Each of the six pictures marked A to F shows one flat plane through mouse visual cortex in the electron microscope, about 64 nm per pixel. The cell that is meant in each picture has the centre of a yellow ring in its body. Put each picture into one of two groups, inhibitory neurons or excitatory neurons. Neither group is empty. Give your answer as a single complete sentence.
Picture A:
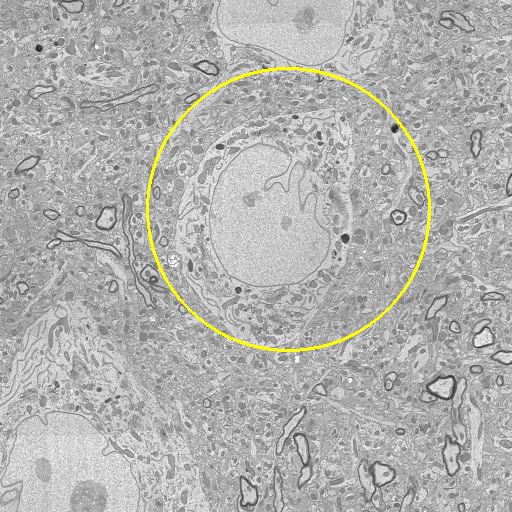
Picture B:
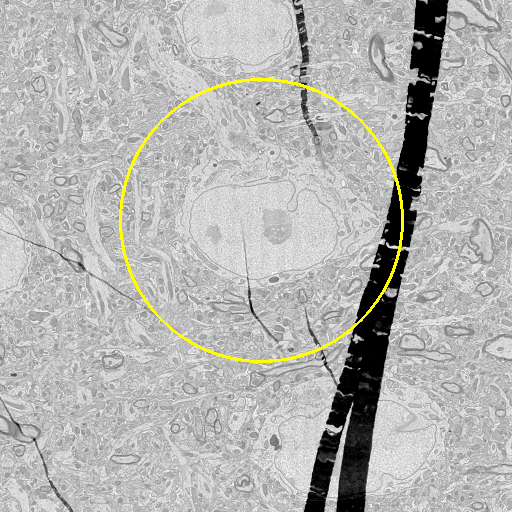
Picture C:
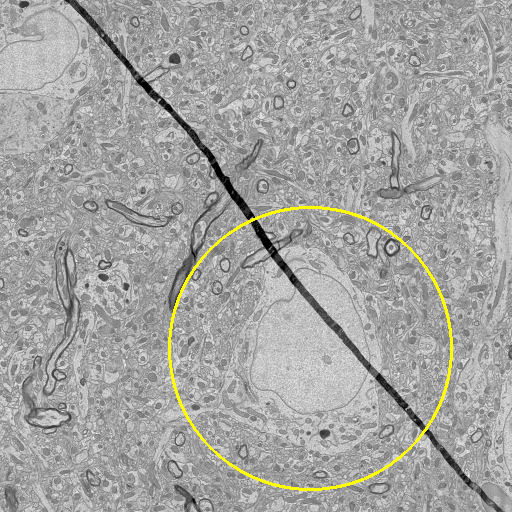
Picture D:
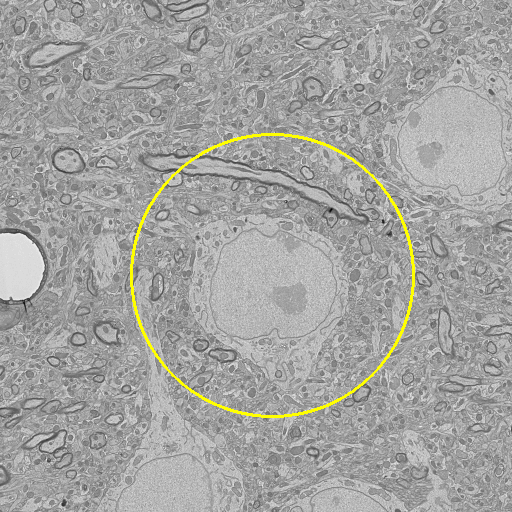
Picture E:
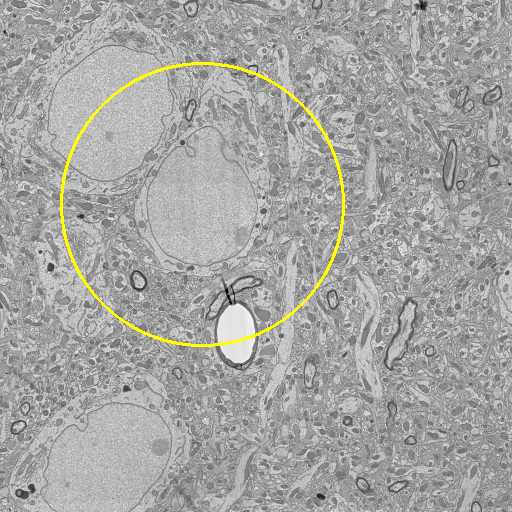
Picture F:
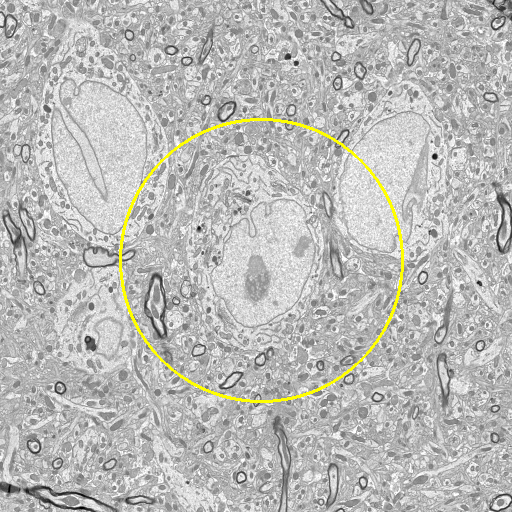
Pictures A and F show inhibitory neurons, while pictures B, C, D and E show excitatory neurons.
